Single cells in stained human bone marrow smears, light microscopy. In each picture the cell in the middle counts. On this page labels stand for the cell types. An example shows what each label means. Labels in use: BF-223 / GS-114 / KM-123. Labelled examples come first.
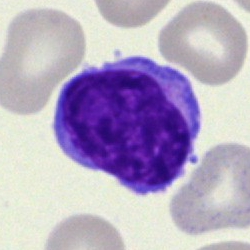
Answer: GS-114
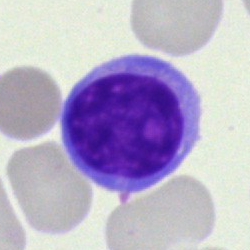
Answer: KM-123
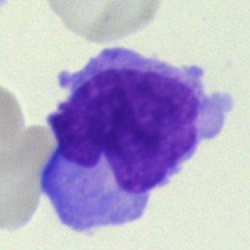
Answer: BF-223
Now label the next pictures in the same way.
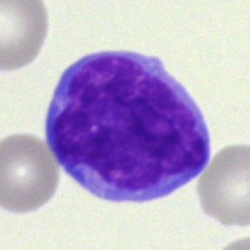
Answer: GS-114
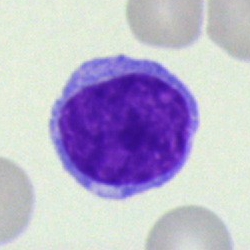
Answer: KM-123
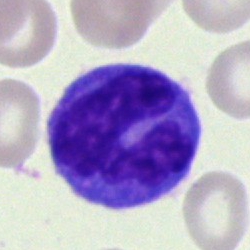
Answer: BF-223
